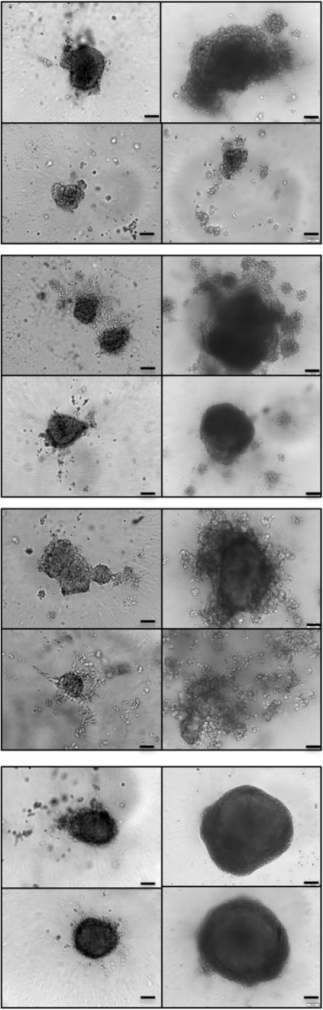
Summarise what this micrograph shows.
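Some spheroids have smooth compact outlines, others have irregular, loosely aggregated margins with budding clusters. Free single cells and small groups of rounded cells lie scattered around several of the spheroids. Spheroids in the right column are generally larger than those in the left.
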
